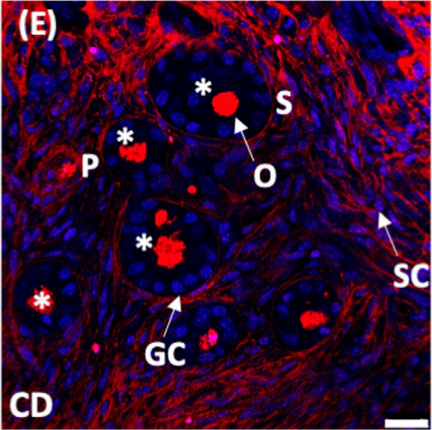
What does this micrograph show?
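Ovarian cortex with several round follicles, each made of an oocyte surrounded by granulosa cells, set in a stroma of spindle-shaped stromal cells. Thin red lines outline each follicle and run as fibres through the stroma between elongated blue nuclei. In the centre of many follicles, where the oocyte lies, there are bright red compact clumps, and scattered small red dots appear elsewhere in the tissue.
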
